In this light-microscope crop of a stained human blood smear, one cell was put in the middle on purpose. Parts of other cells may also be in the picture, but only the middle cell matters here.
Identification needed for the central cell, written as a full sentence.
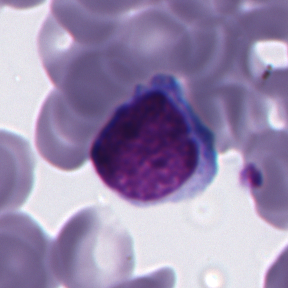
The cell found in the middle of this crop is a lymphocyte.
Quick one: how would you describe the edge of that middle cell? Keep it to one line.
Along the periphery, ragged stretches or projections make the outline irregular.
